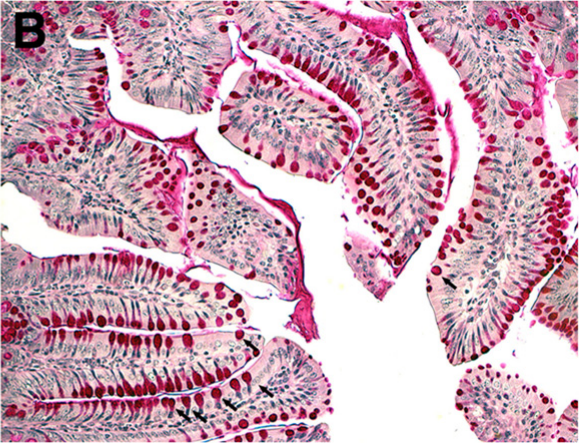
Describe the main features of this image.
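This is intestinal mucosa with villi cut in several planes, lined by tall columnar epithelium. Goblet cells are abundant, appearing as many red ovoid bodies arranged in rows along the epithelium of almost every villus. Between them the columnar cells have elongated nuclei stacked side by side, giving a palisaded look. The villus cores are pale with fewer dark nuclei than the lining. Some red-stained material lies along the epithelial surfaces facing the lumen.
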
